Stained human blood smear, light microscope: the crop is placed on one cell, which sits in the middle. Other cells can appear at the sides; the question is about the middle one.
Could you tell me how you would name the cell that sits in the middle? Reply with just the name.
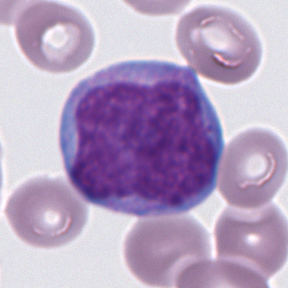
atypical promyelocyte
